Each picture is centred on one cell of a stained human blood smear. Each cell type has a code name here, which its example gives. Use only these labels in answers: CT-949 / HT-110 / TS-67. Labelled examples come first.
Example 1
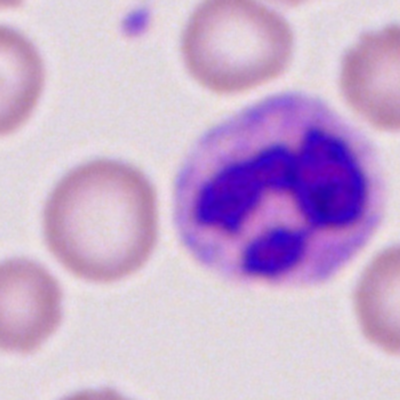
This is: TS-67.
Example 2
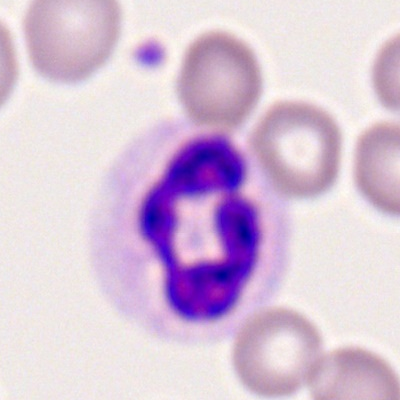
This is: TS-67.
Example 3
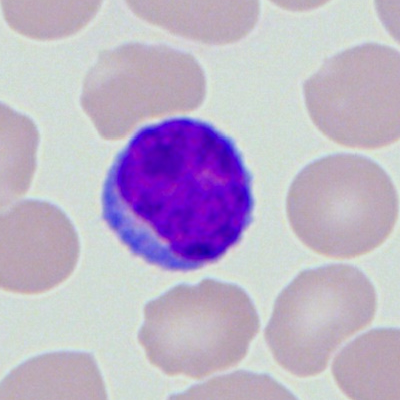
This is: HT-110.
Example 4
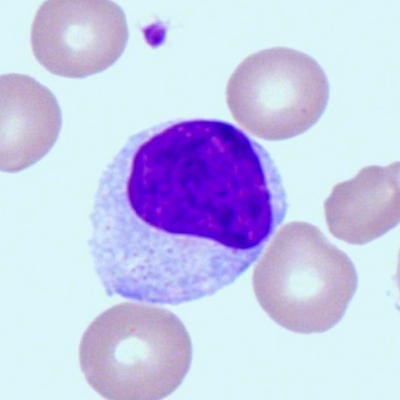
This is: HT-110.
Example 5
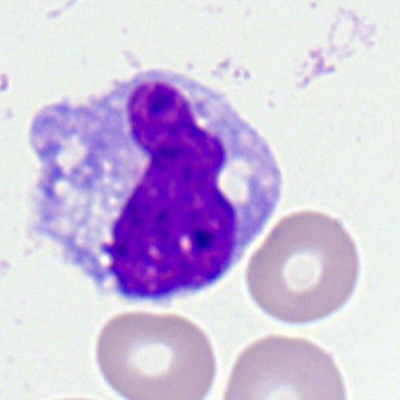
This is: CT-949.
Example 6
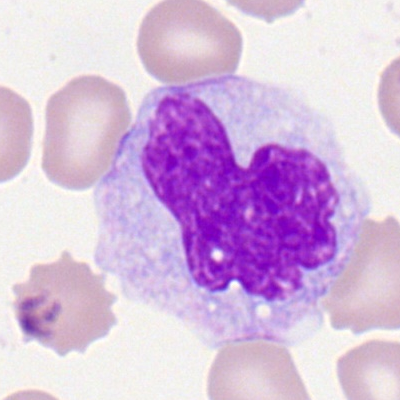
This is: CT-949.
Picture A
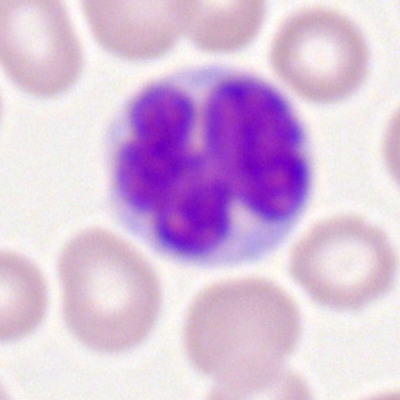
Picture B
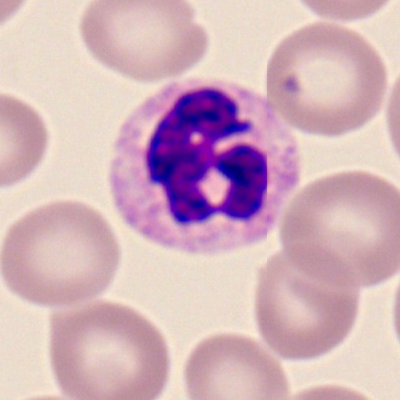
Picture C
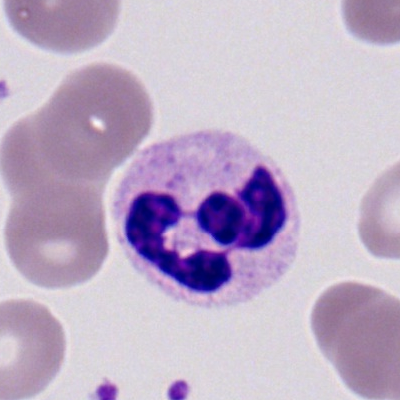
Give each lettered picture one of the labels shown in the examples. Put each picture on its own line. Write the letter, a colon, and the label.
A: CT-949.
B: TS-67.
C: TS-67.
